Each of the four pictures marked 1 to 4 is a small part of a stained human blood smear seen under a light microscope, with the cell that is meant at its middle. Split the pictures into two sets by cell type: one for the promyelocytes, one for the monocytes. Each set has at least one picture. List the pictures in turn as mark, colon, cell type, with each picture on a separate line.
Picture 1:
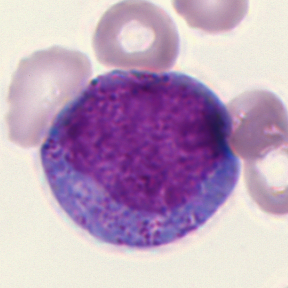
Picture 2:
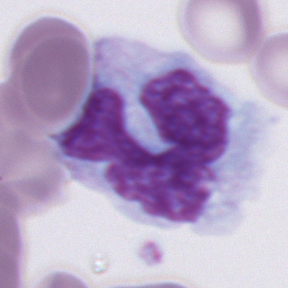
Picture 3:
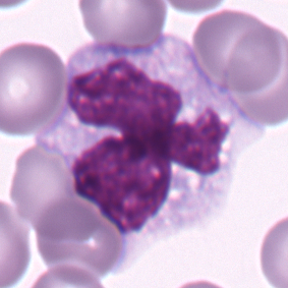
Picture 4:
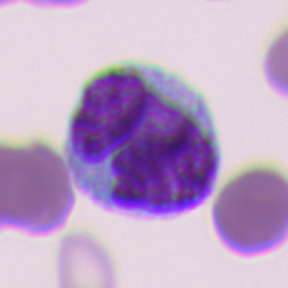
1: promyelocyte
2: monocyte
3: monocyte
4: monocyte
